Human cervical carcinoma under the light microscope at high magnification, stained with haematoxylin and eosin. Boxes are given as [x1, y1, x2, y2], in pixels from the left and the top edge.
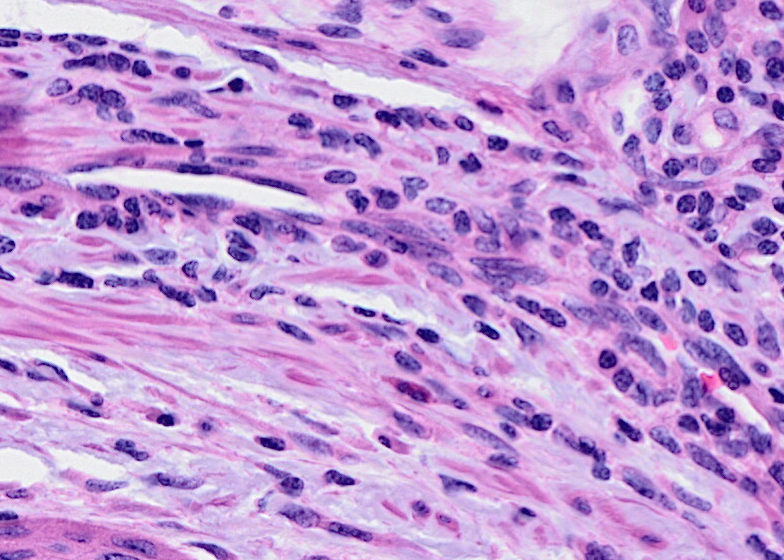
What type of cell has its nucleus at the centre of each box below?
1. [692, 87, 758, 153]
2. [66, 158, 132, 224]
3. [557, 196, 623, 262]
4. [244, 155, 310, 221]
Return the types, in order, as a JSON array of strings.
["endothelial cell", "endothelial cell", "lymphocyte", "endothelial cell"]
